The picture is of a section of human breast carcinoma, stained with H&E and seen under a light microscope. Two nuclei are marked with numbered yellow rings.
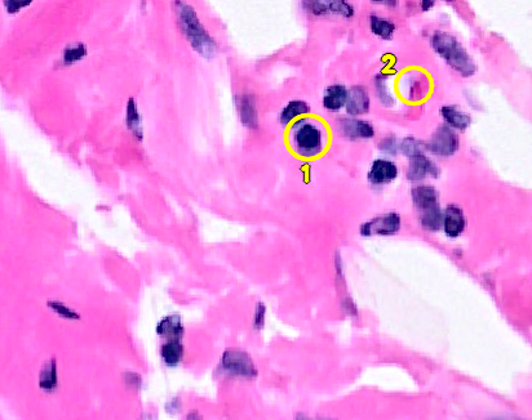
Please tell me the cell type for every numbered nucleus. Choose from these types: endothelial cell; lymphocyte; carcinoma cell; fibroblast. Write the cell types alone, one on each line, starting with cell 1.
lymphocyte
endothelial cell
